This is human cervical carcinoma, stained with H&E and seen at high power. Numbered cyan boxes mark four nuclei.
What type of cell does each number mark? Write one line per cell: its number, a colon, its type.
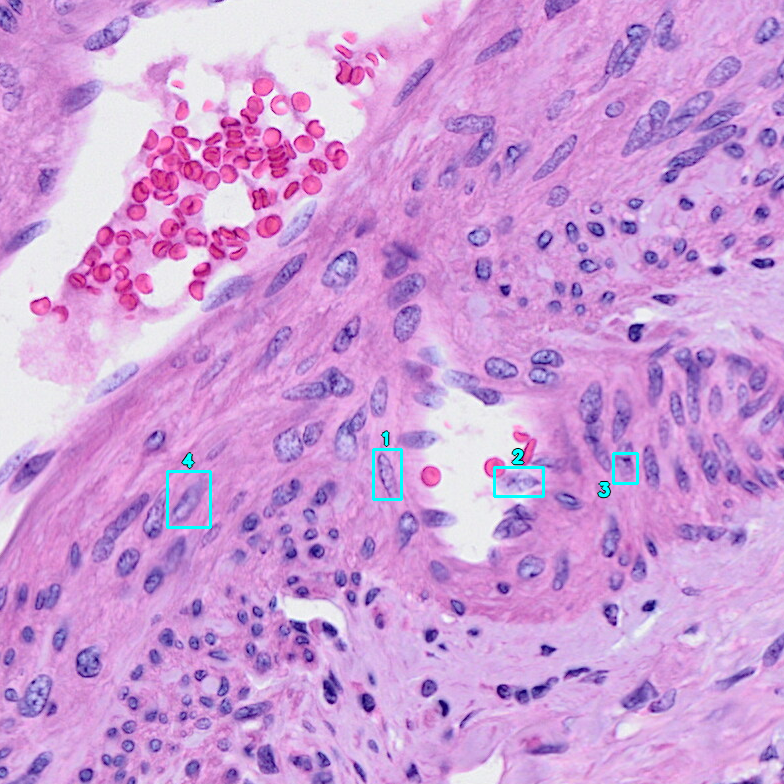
1: smooth muscle cell
2: endothelial cell
3: smooth muscle cell
4: smooth muscle cell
